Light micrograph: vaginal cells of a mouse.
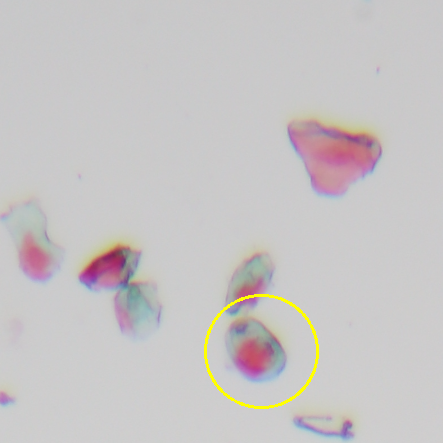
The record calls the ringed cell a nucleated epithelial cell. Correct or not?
Correct; it is a nucleated epithelial cell.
